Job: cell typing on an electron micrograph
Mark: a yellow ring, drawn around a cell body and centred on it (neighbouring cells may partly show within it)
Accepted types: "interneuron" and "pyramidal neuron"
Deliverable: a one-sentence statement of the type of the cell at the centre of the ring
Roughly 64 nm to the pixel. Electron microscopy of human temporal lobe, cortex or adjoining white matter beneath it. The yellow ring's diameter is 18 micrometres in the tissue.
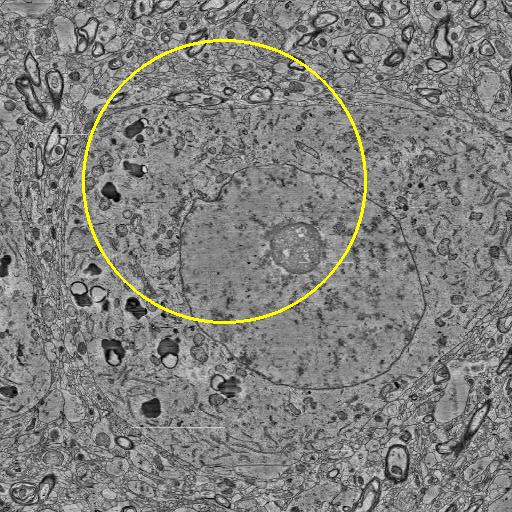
The centred cell body is that of a pyramidal neuron.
